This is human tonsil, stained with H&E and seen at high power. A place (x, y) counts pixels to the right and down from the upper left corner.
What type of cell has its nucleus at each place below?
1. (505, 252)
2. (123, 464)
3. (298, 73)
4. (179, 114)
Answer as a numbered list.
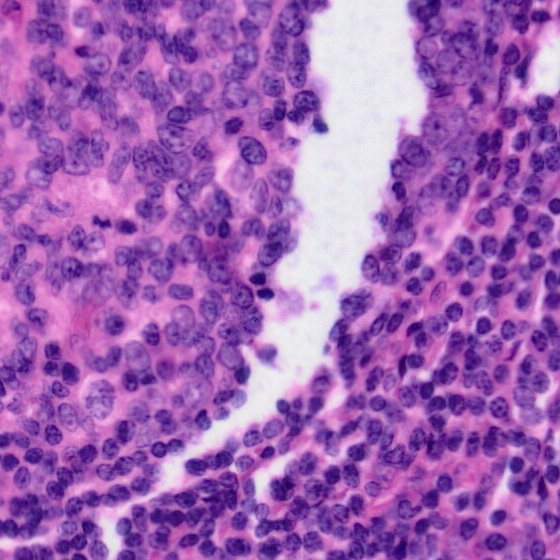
1. small lymphocyte
2. small lymphocyte
3. proliferating B cell
4. proliferating B cell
